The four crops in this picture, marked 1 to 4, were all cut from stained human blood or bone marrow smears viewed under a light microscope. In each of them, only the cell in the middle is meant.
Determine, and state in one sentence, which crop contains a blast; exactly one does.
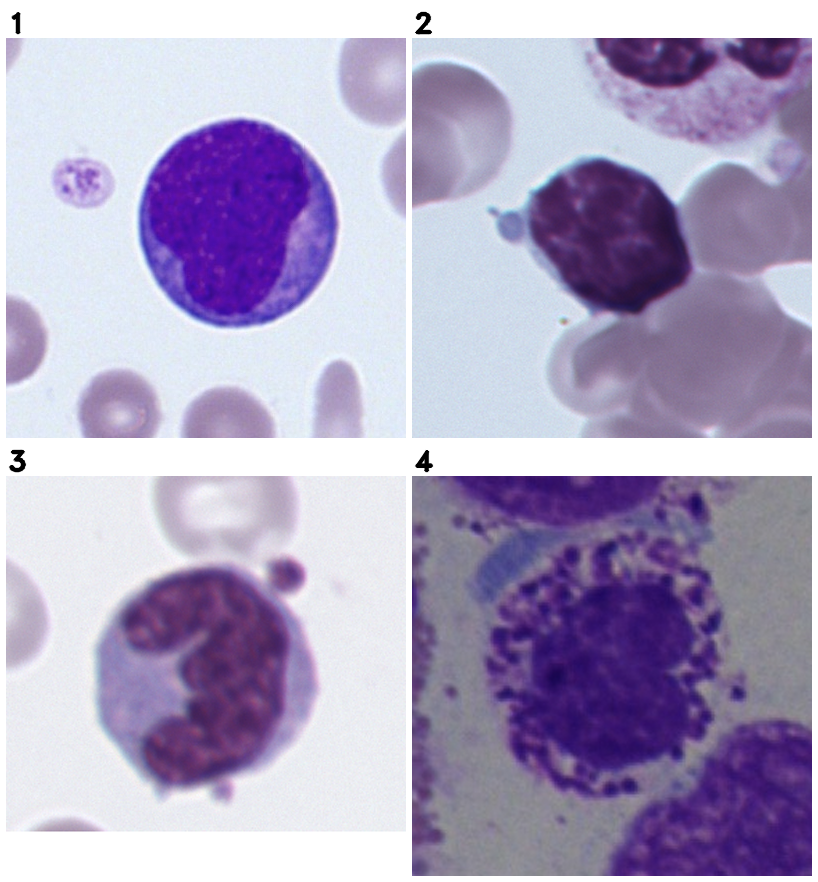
The cell at the center of crop 1 is the one that is a blast.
